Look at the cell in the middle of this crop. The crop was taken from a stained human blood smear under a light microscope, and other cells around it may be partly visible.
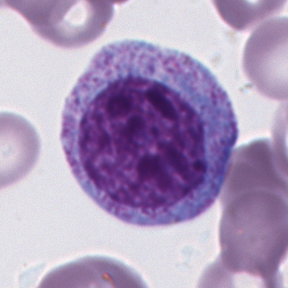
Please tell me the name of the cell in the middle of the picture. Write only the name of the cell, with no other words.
promyelocyte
